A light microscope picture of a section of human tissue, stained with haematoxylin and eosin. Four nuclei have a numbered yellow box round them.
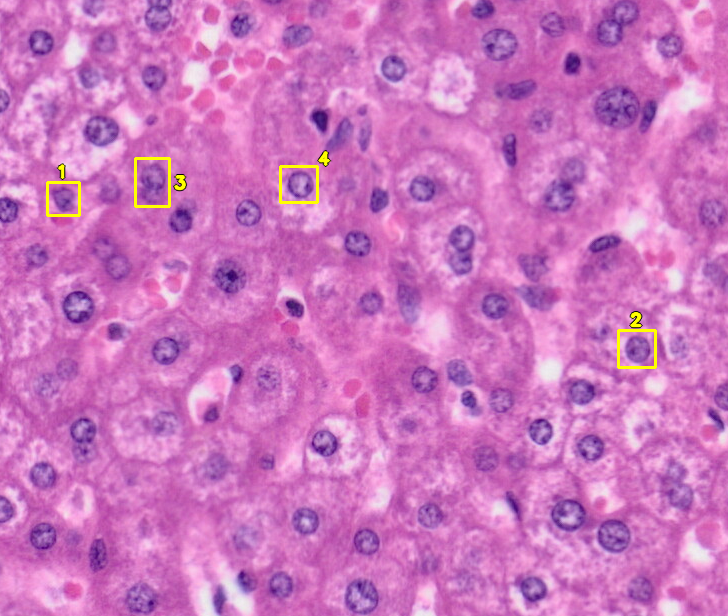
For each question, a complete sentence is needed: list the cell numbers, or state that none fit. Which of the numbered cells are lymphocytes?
Each of the numbered cells is a cell other than one of the lymphocytes.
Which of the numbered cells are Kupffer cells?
Cell 1 is a Kupffer cell, which is true of none of the other numbered cells.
